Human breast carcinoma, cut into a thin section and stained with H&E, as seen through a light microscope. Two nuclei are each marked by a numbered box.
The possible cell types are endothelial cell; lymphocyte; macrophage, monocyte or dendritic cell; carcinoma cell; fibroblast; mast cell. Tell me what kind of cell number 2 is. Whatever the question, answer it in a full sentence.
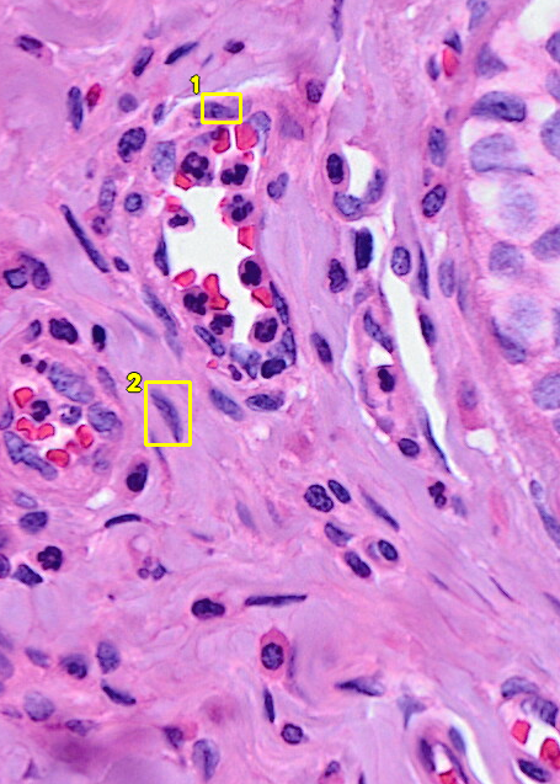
The cell pointed out by number 2 is a fibroblast.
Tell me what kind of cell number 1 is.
The cell that is numbered 1 is an endothelial cell.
